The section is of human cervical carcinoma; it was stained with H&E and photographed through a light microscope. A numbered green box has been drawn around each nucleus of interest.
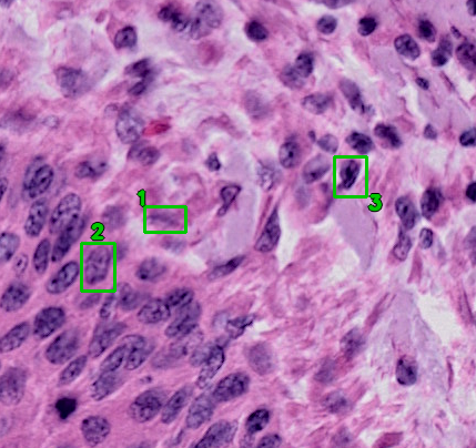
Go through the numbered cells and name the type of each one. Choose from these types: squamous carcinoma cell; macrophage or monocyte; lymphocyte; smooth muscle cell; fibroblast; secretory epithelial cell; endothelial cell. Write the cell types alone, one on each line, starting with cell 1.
fibroblast
squamous carcinoma cell
lymphocyte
